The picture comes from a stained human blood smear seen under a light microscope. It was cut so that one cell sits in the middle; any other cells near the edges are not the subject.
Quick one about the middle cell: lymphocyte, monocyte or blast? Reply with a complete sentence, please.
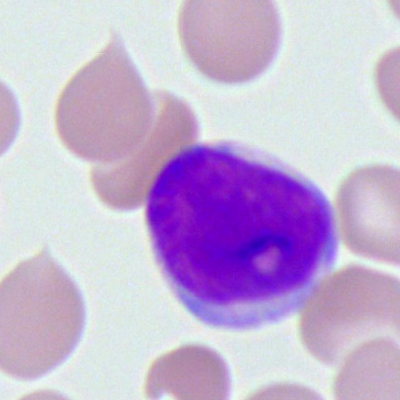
The identification for the central cell is a blast.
